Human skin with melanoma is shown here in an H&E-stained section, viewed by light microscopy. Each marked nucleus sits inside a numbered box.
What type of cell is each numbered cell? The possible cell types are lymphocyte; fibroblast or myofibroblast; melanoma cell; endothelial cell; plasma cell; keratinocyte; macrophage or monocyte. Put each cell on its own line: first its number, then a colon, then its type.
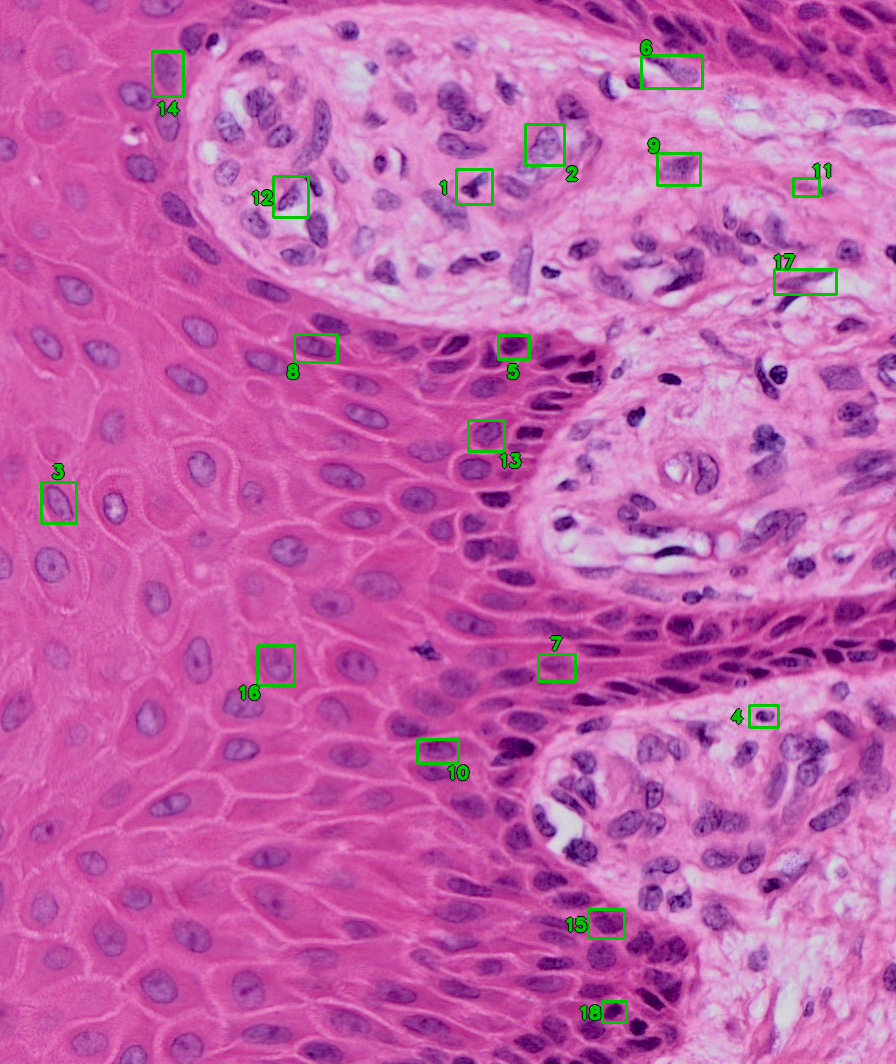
1: lymphocyte
2: endothelial cell
3: keratinocyte
4: lymphocyte
5: keratinocyte
6: fibroblast or myofibroblast
7: keratinocyte
8: keratinocyte
9: fibroblast or myofibroblast
10: keratinocyte
11: fibroblast or myofibroblast
12: endothelial cell
13: keratinocyte
14: keratinocyte
15: keratinocyte
16: keratinocyte
17: fibroblast or myofibroblast
18: keratinocyte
